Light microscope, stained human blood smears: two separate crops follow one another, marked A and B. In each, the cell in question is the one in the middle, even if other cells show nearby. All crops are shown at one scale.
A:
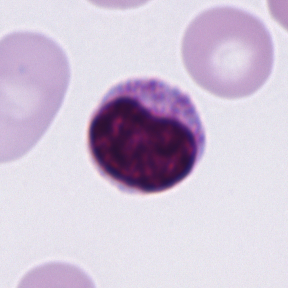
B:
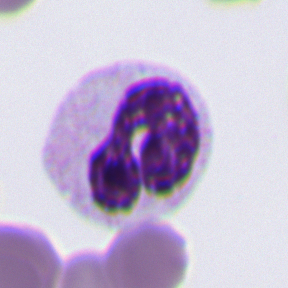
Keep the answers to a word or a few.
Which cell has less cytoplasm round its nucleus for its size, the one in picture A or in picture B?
A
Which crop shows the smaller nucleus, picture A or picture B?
A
